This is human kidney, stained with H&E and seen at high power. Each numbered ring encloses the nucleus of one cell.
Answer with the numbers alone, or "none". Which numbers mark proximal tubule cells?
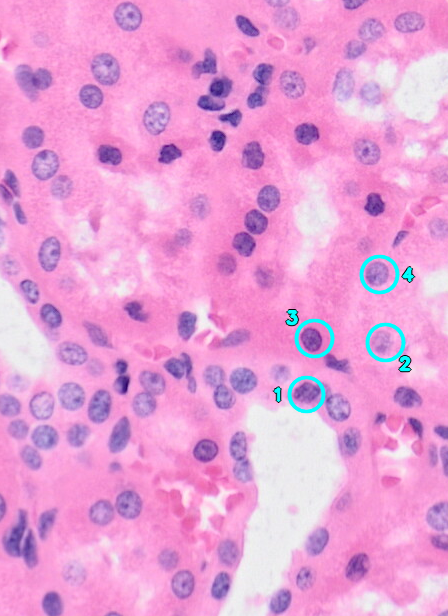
2, 3, 4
